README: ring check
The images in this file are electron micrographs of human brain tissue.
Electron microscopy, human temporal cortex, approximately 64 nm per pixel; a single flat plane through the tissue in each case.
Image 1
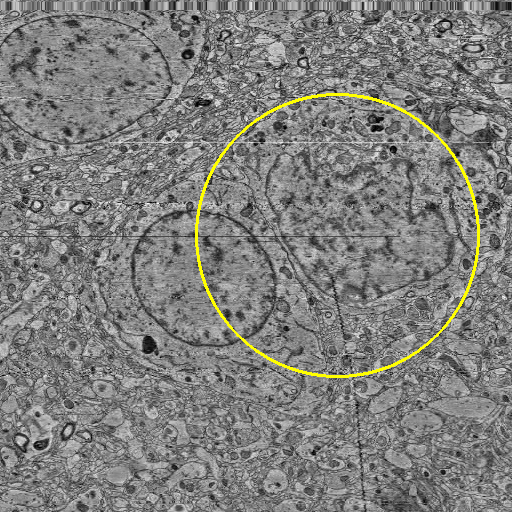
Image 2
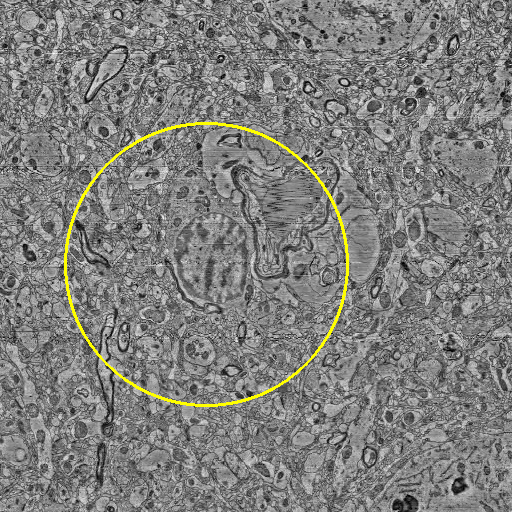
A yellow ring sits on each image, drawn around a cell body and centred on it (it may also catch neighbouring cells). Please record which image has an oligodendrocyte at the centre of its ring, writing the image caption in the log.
Image 2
